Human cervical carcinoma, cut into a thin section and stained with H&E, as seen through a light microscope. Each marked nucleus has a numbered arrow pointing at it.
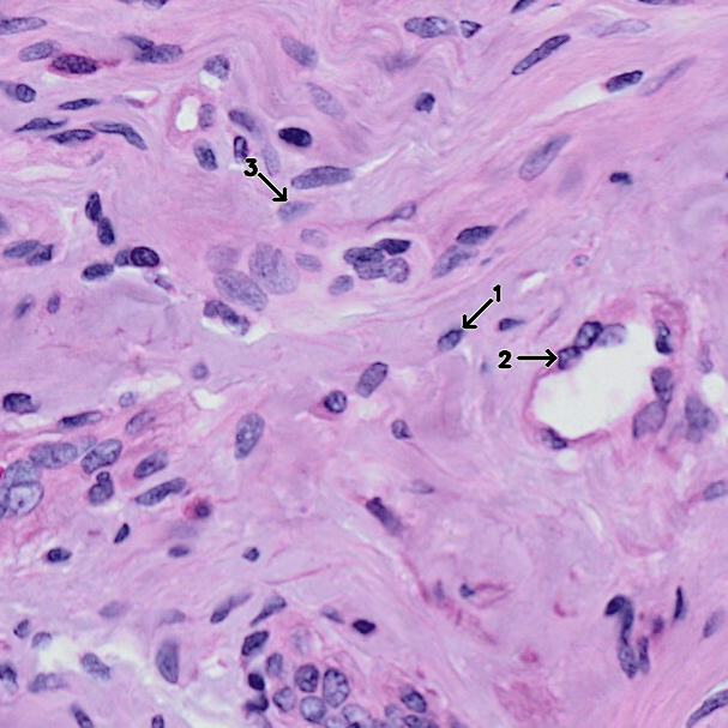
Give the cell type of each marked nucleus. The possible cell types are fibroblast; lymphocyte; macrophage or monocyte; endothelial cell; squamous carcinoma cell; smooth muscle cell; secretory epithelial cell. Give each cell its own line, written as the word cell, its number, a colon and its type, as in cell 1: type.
cell 1: fibroblast
cell 2: endothelial cell
cell 3: fibroblast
